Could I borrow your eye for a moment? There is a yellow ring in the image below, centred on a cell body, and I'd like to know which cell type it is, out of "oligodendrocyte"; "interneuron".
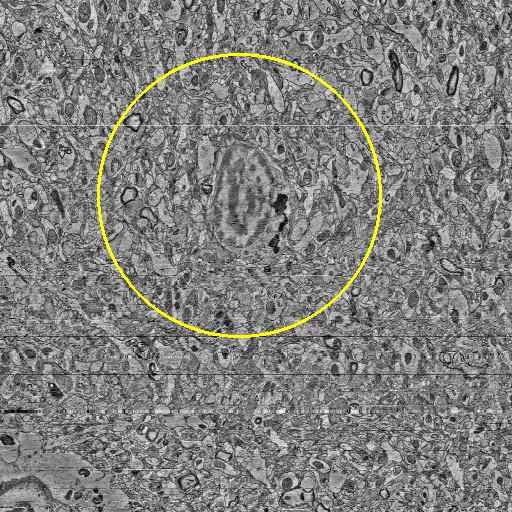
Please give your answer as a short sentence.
The cell body at the centre is that of an oligodendrocyte.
